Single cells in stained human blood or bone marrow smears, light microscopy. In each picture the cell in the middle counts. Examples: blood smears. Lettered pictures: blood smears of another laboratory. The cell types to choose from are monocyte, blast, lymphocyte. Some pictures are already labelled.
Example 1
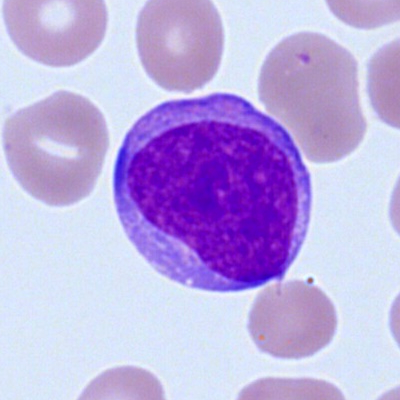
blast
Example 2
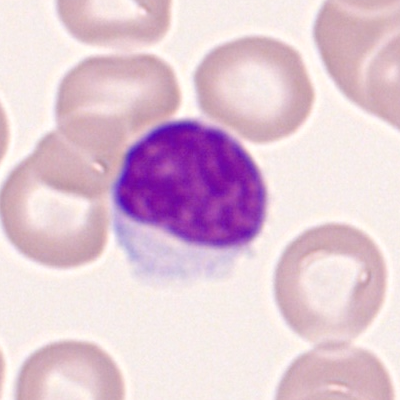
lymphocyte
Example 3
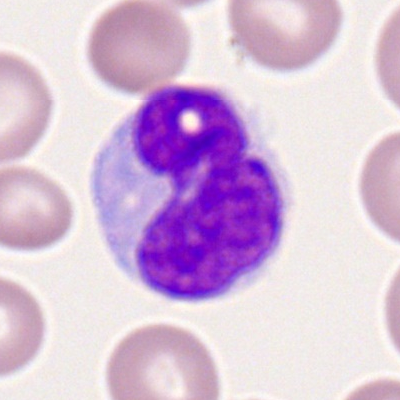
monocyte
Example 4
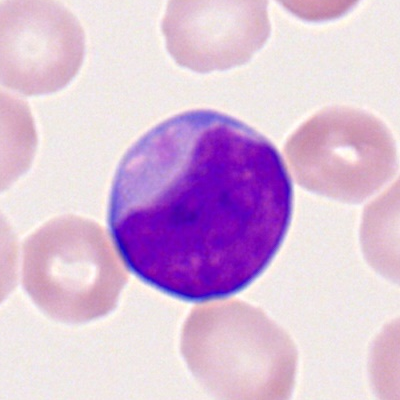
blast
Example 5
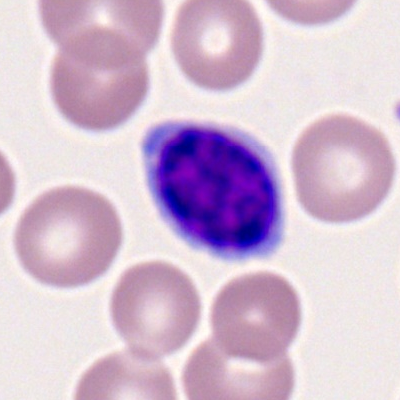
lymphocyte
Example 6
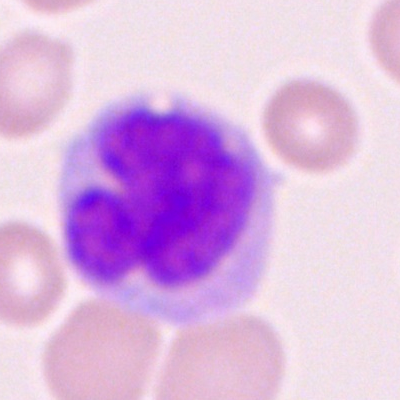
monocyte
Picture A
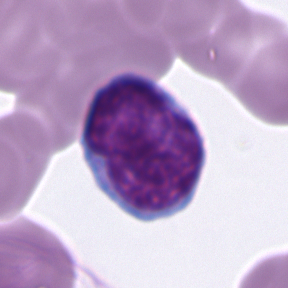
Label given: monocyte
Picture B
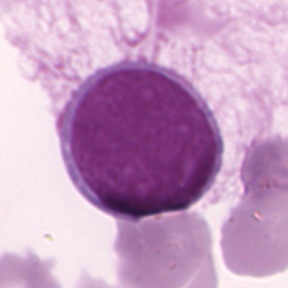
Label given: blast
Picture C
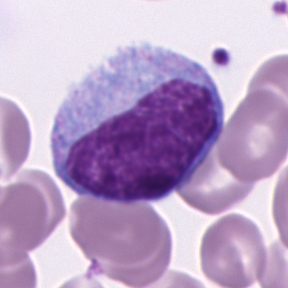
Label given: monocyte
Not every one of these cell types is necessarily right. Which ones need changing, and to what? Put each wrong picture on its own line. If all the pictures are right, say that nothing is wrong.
A should be lymphocyte, not monocyte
